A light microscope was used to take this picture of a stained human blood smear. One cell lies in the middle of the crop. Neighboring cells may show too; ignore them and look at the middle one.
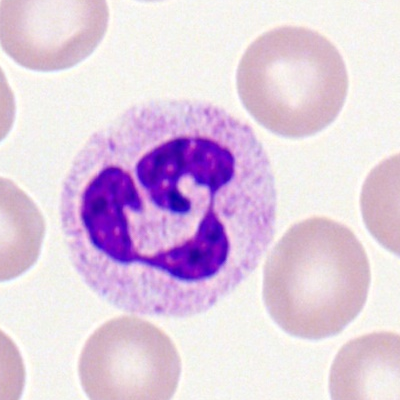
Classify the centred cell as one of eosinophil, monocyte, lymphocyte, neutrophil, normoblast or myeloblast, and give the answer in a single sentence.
Regarding the central cell, it is a neutrophil.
